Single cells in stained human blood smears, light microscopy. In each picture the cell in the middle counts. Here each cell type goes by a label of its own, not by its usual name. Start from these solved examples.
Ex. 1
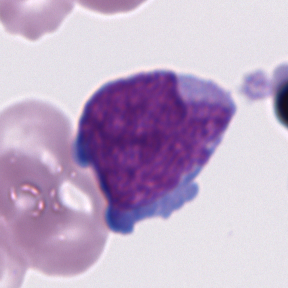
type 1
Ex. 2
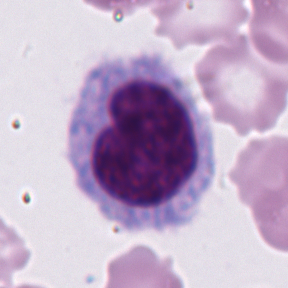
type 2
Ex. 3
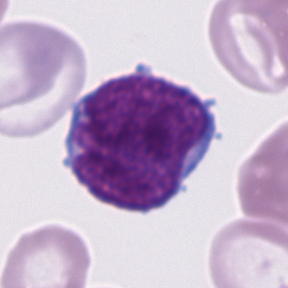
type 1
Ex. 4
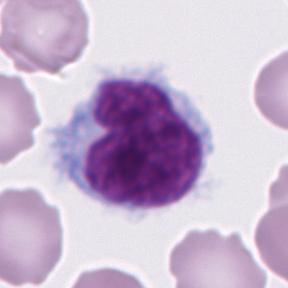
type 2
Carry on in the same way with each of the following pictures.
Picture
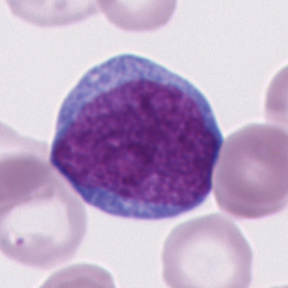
type 1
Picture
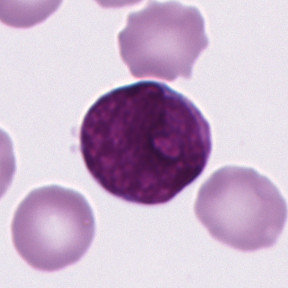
type 1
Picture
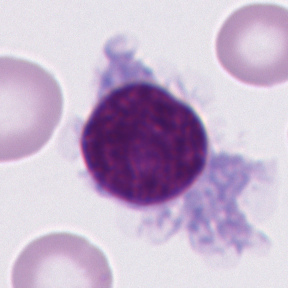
type 2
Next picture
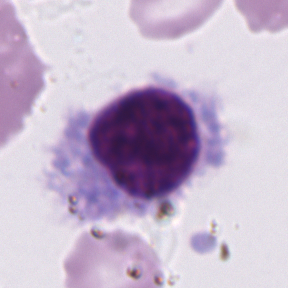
type 2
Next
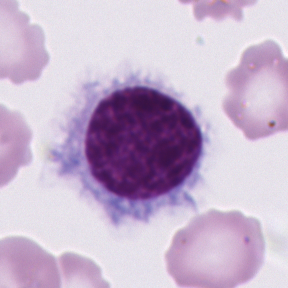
type 2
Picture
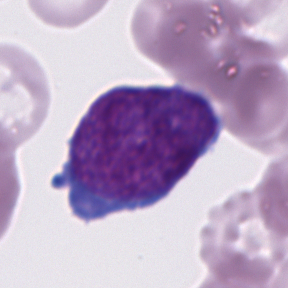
type 1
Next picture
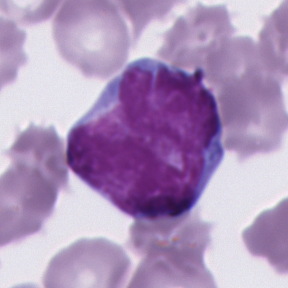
type 1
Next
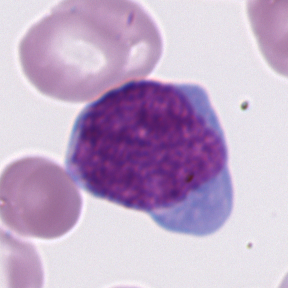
type 1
